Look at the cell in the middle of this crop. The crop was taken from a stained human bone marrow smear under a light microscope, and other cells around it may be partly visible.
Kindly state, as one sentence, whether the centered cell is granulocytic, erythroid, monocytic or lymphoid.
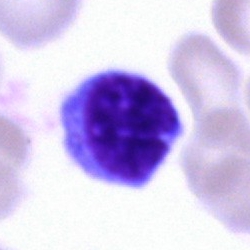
The cell of interest in the center belongs to the lymphoid lineage.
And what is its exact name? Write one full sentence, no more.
Standing at the centre of this crop is a lymphocyte.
